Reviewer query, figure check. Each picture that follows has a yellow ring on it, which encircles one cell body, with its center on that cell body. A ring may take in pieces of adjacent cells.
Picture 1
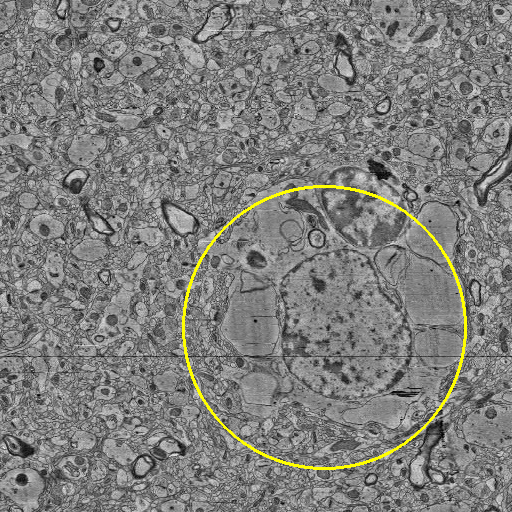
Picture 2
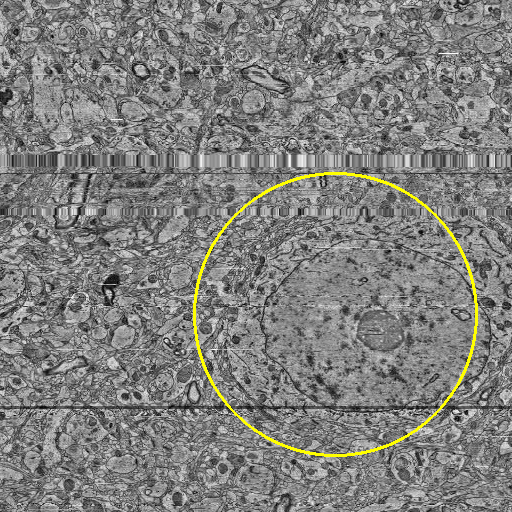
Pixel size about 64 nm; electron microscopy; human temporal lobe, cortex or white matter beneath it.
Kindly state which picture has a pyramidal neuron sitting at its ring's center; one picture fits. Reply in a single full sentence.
In picture 2, the cell at the center of the ring is the requested one.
